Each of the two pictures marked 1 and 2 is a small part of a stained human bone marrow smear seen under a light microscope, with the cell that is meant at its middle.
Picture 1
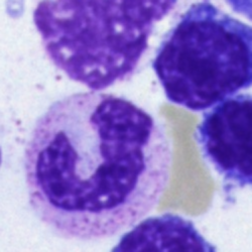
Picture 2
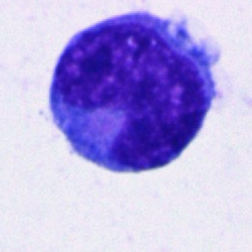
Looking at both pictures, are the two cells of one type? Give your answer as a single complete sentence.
No. Picture 1 shows a segmented neutrophil, but picture 2 shows a blast.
